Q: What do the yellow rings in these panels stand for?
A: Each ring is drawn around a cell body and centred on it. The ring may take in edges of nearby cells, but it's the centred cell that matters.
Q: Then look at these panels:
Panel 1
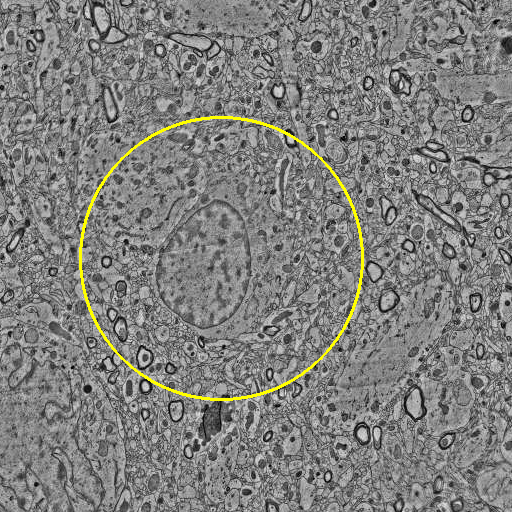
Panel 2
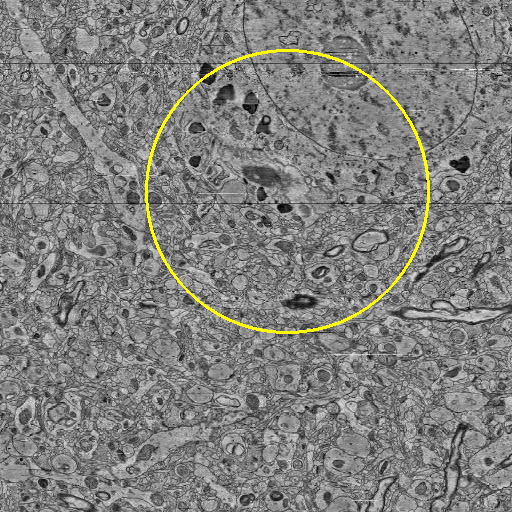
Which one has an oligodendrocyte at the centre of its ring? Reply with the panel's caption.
Panel 1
